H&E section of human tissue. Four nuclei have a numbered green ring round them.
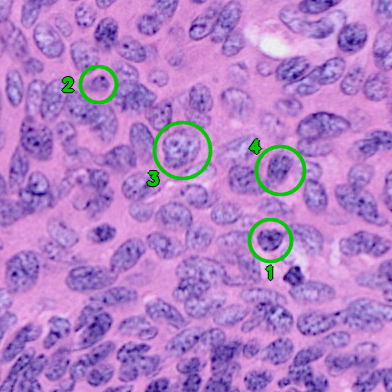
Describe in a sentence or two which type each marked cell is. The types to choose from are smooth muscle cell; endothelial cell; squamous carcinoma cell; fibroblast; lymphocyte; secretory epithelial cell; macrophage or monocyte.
Cell 1 is a lymphocyte, cell 2 is a squamous carcinoma cell, cell 3 is a squamous carcinoma cell and cell 4 is a squamous carcinoma cell.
